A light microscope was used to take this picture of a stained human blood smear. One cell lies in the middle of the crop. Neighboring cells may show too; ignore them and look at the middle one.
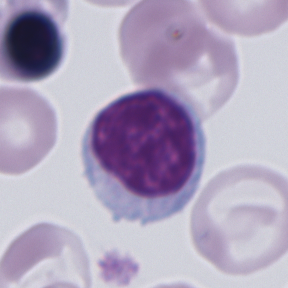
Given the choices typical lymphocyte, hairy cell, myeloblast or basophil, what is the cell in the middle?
typical lymphocyte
